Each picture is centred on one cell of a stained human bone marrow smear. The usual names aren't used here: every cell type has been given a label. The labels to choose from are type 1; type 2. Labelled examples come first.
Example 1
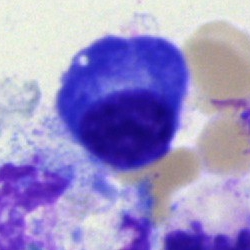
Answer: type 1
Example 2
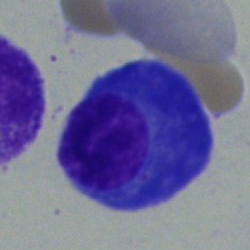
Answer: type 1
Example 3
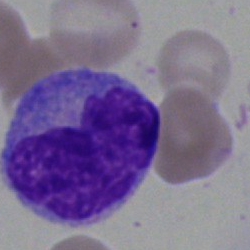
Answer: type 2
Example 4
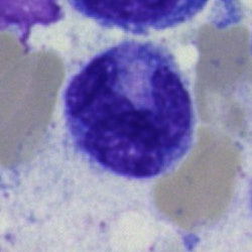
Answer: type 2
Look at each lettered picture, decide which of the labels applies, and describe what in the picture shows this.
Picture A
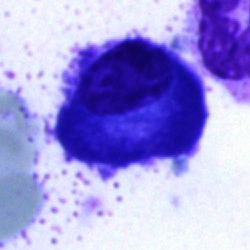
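type 1. Evidence: The cytoplasm forms a wide band below the nucleus.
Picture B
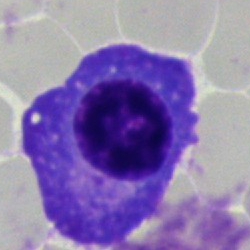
type 1. Evidence: The cytoplasm is plentiful, covering more area than the nucleus.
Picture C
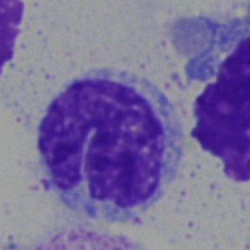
type 2. Evidence: The nucleus fills most of the cell.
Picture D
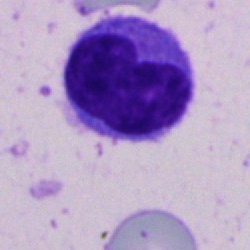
type 2. Evidence: The nucleus fills most of the cell.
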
